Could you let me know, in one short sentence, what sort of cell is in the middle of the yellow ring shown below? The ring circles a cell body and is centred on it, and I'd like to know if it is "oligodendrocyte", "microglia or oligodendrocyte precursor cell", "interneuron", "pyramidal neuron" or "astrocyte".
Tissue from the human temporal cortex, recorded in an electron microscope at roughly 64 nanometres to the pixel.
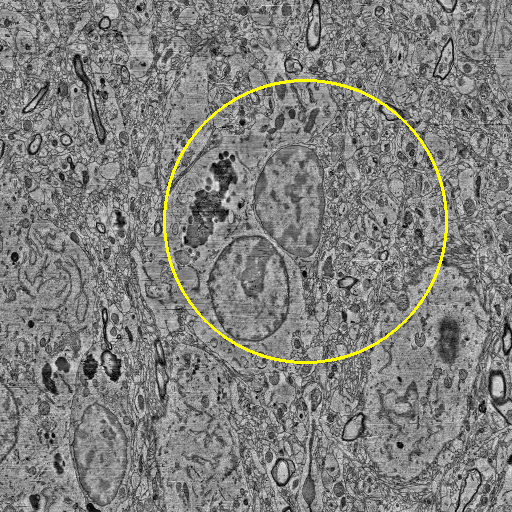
The ring circles the cell body of a microglial cell or oligodendrocyte precursor cell.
